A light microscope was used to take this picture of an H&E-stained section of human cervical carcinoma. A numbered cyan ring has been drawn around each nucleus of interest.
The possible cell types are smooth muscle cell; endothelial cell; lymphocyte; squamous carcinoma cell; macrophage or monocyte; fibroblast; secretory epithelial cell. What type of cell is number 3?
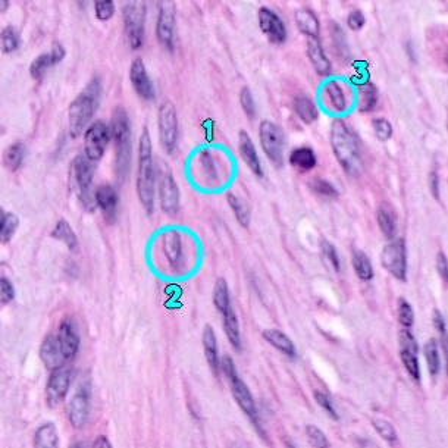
endothelial cell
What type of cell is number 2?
smooth muscle cell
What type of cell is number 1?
smooth muscle cell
